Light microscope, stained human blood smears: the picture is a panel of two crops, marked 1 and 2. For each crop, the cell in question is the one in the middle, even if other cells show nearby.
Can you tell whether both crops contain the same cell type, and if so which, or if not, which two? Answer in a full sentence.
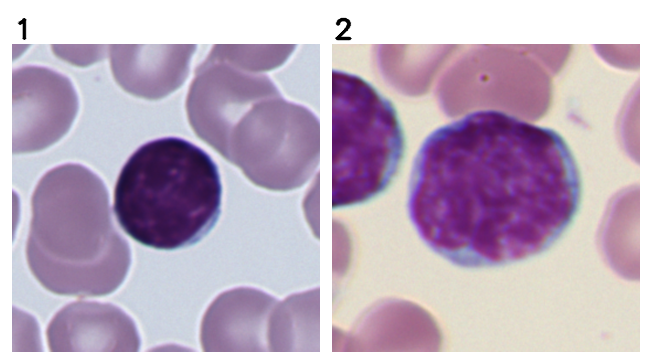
Yes, what both crops show at their centres are typical lymphocytes.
